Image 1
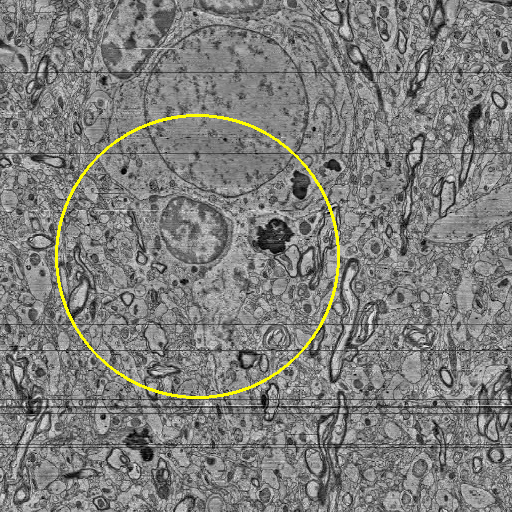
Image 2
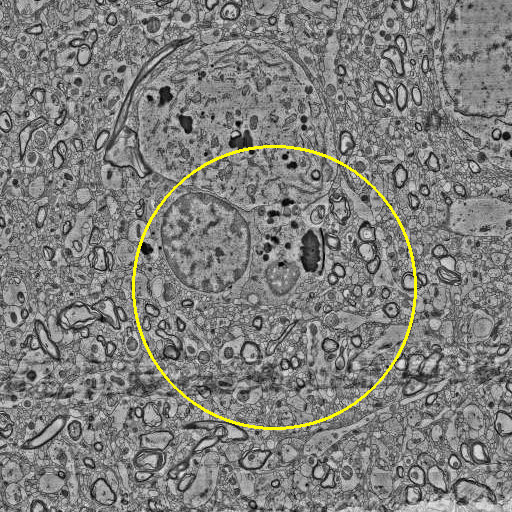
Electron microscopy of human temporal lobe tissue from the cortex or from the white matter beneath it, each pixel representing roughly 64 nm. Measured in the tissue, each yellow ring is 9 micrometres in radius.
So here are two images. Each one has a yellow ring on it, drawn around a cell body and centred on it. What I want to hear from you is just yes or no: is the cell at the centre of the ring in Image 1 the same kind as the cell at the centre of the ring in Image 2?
yes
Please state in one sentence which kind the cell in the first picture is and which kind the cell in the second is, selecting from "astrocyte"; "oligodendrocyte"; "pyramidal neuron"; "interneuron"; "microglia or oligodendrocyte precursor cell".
The ring centre holds an oligodendrocyte in each of the two pictures.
